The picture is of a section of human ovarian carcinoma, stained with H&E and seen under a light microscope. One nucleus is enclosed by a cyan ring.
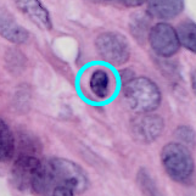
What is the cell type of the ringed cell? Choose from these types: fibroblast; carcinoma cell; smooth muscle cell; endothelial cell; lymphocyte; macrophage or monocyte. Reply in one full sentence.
The identity of the ringed cell: it is a lymphocyte.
